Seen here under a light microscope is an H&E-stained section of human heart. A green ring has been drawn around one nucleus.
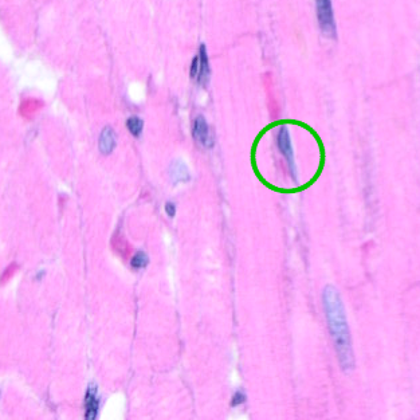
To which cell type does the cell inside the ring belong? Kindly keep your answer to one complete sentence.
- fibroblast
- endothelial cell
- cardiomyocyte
Just put down that the cell inside the ring is an endothelial cell.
